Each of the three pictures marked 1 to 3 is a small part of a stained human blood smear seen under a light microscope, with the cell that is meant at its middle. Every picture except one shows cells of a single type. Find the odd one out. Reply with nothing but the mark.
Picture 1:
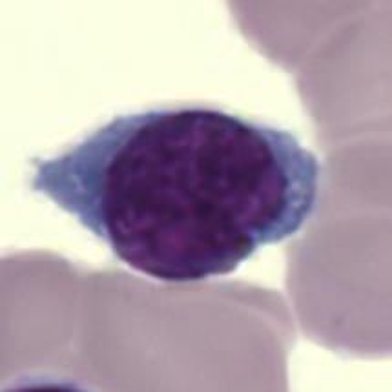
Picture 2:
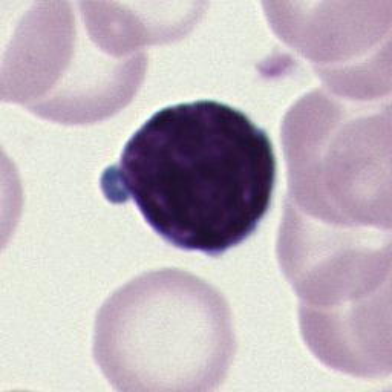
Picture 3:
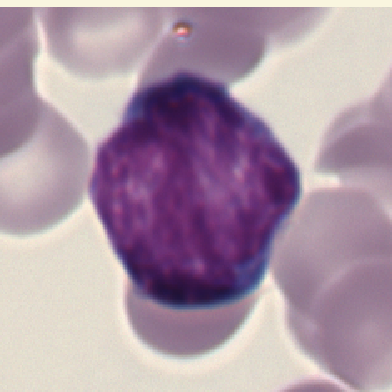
1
